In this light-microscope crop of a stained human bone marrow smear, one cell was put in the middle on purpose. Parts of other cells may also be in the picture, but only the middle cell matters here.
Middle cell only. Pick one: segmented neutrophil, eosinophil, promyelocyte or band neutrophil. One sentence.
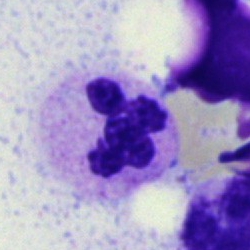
For this crop, the central cell is a segmented neutrophil.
